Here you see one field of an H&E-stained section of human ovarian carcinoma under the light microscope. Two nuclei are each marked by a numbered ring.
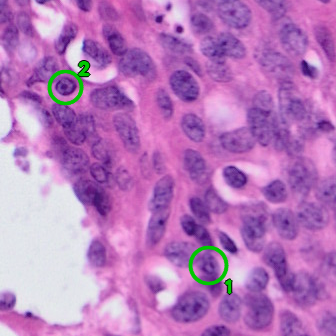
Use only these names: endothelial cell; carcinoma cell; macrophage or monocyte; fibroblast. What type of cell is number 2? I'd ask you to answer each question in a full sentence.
The cell given label 2 is a macrophage or monocyte.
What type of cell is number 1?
The mark numbered 1 indicates the nucleus of a carcinoma cell.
